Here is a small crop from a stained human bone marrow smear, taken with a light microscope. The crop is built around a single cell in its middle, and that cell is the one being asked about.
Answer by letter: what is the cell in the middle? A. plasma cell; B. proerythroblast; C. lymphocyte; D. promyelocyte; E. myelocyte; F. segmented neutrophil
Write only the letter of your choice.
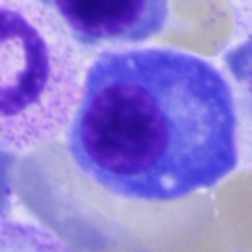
A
